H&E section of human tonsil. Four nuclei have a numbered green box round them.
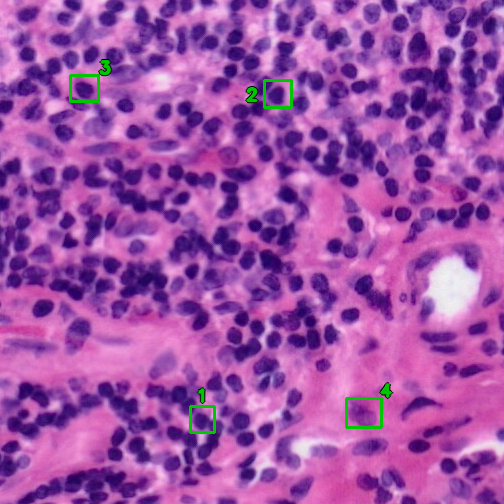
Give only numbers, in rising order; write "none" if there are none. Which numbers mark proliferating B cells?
none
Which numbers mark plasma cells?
3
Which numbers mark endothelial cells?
4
